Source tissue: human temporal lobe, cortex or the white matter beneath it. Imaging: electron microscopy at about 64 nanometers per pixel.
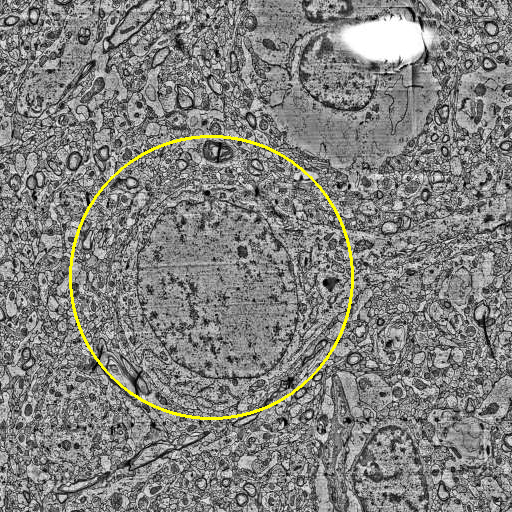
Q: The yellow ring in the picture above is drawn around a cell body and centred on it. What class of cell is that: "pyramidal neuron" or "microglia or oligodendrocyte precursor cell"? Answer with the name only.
pyramidal neuron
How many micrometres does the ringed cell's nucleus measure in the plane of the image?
In this plane the nucleus measures roughly 12 by 10 micrometres.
